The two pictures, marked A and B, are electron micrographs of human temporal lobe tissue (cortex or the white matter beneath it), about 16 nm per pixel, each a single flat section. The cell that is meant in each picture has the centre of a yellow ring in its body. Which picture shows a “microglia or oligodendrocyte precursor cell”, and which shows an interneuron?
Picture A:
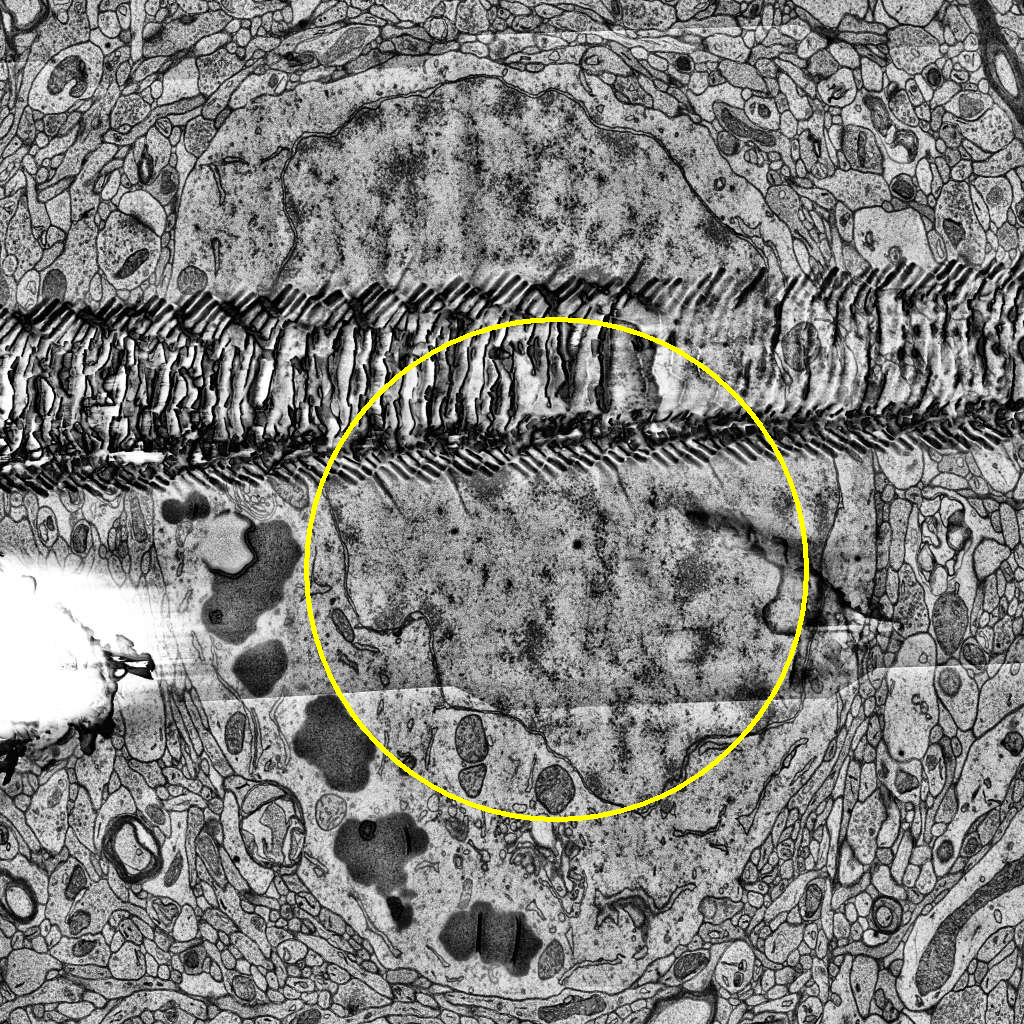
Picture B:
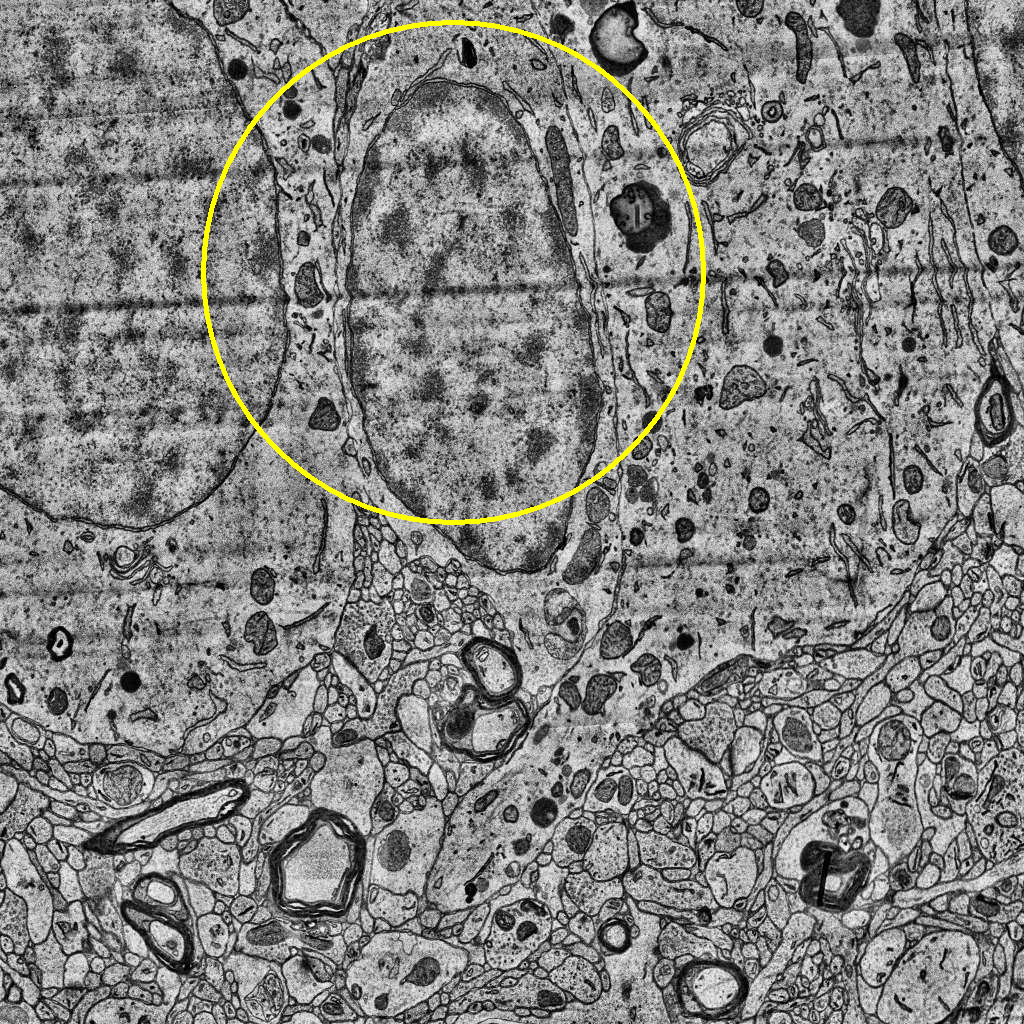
The cell in picture A is an interneuron, and the one in picture B is a “microglia or oligodendrocyte precursor cell”.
